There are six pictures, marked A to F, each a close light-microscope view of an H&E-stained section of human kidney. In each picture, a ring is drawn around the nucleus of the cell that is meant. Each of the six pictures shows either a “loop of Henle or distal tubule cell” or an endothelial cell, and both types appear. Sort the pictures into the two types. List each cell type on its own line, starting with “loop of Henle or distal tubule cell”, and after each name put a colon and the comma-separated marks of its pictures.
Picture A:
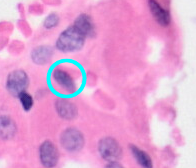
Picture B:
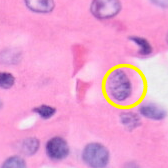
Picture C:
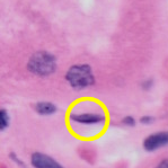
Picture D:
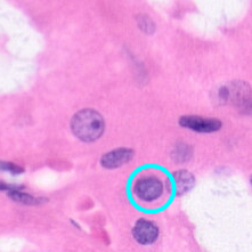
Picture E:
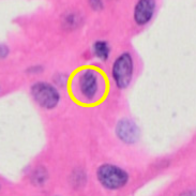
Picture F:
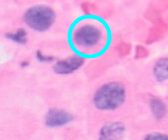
loop of Henle or distal tubule cell: B, D
endothelial cell: A, C, E, F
